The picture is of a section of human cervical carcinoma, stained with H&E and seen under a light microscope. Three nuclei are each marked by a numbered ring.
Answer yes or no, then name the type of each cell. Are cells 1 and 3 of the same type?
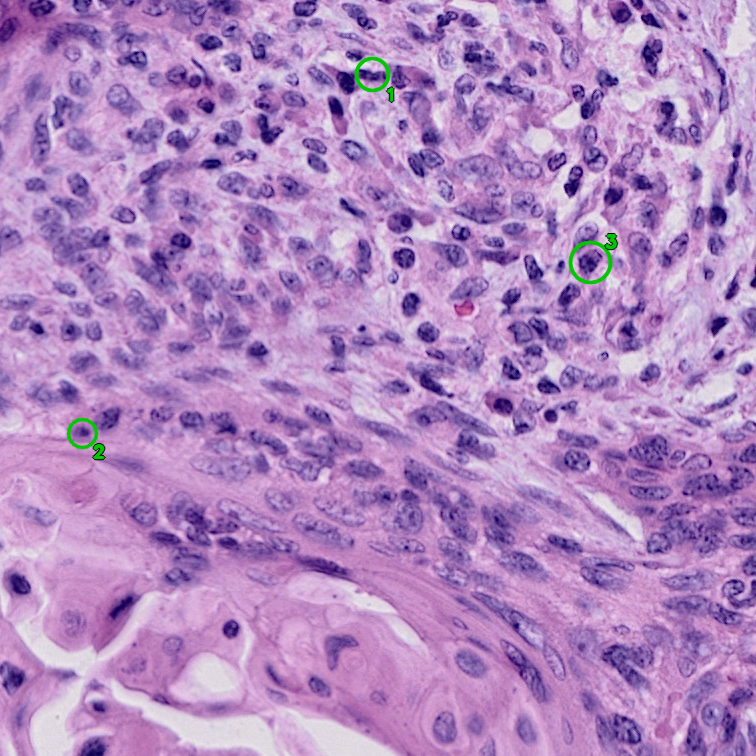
Yes, among the marked cells, numbers 1 and 3 are both lymphocytes.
